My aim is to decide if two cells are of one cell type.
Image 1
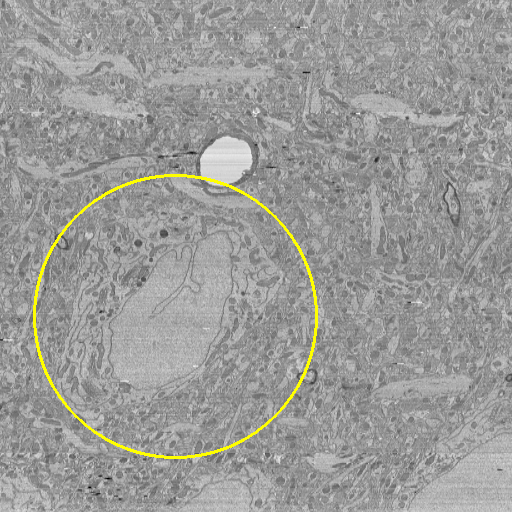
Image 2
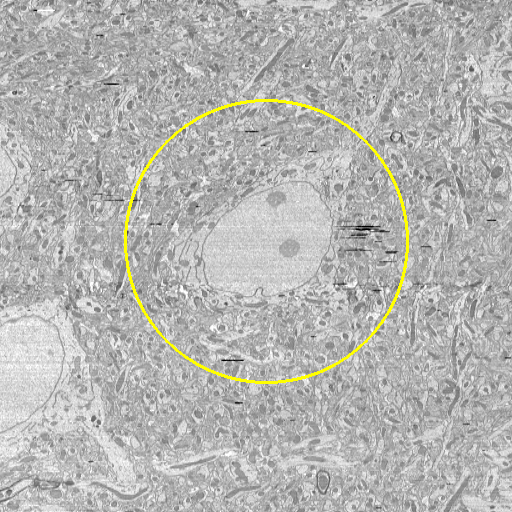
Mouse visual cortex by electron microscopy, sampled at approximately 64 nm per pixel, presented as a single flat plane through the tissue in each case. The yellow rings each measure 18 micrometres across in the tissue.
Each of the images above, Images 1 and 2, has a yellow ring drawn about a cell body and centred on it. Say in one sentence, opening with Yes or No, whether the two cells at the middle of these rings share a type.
No, in Images 1 and 2 the cells at the middle of the rings fall into two types.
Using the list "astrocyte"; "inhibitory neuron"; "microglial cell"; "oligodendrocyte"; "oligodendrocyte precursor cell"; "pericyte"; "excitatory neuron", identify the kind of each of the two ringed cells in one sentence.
The first is an inhibitory neuron and the second is an excitatory neuron.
